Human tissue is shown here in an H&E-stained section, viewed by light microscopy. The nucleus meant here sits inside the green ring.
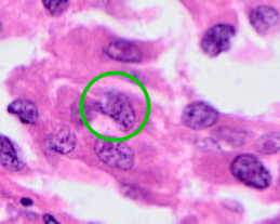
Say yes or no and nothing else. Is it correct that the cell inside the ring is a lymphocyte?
no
